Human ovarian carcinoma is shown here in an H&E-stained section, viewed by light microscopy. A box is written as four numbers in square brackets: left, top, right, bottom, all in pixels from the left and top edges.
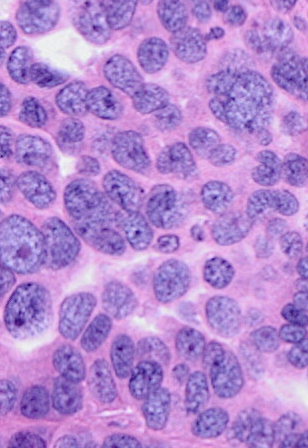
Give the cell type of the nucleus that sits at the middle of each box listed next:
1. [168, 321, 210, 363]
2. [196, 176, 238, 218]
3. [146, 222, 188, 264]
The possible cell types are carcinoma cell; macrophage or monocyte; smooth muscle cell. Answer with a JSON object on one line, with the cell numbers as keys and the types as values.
{"1": "carcinoma cell", "2": "carcinoma cell", "3": "macrophage or monocyte"}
